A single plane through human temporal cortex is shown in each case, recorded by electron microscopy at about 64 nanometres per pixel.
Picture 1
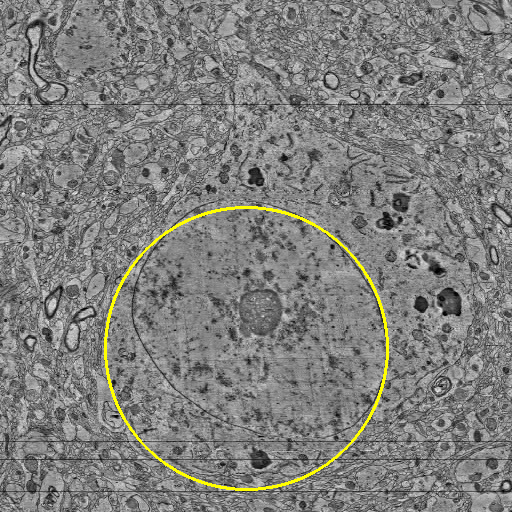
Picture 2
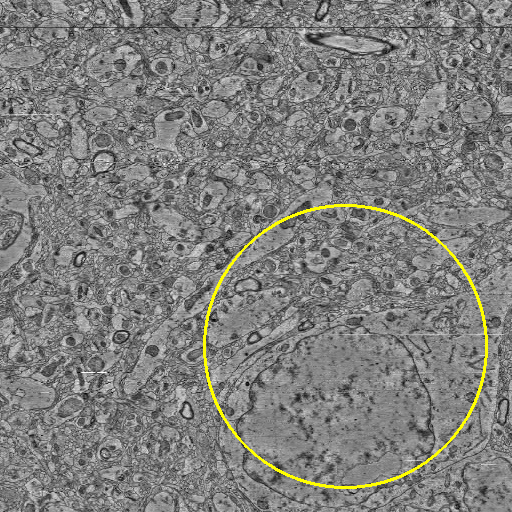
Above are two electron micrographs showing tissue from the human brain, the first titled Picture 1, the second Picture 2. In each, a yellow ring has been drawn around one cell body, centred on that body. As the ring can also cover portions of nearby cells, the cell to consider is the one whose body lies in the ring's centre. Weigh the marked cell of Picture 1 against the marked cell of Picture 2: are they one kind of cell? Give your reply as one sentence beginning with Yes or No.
Yes, the two cells sitting at the ring centres in the pictures are of one kind.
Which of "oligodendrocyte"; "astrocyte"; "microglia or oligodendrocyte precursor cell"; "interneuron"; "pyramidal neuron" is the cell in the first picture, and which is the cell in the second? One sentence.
In each picture the ringed cell is a pyramidal neuron.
